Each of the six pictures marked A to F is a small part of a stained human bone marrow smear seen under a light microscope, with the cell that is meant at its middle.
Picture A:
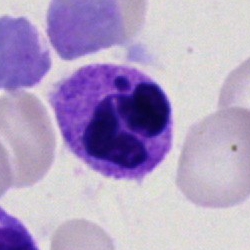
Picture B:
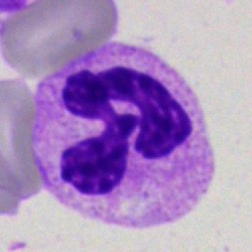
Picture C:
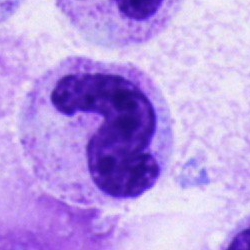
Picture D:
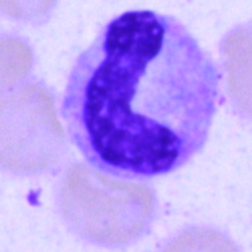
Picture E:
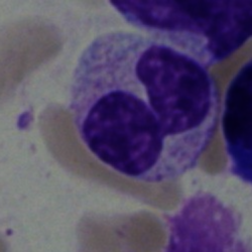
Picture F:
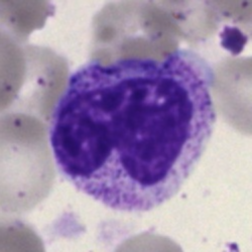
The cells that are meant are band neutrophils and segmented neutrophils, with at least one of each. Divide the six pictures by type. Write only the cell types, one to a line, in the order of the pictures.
segmented neutrophil
segmented neutrophil
band neutrophil
band neutrophil
segmented neutrophil
band neutrophil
